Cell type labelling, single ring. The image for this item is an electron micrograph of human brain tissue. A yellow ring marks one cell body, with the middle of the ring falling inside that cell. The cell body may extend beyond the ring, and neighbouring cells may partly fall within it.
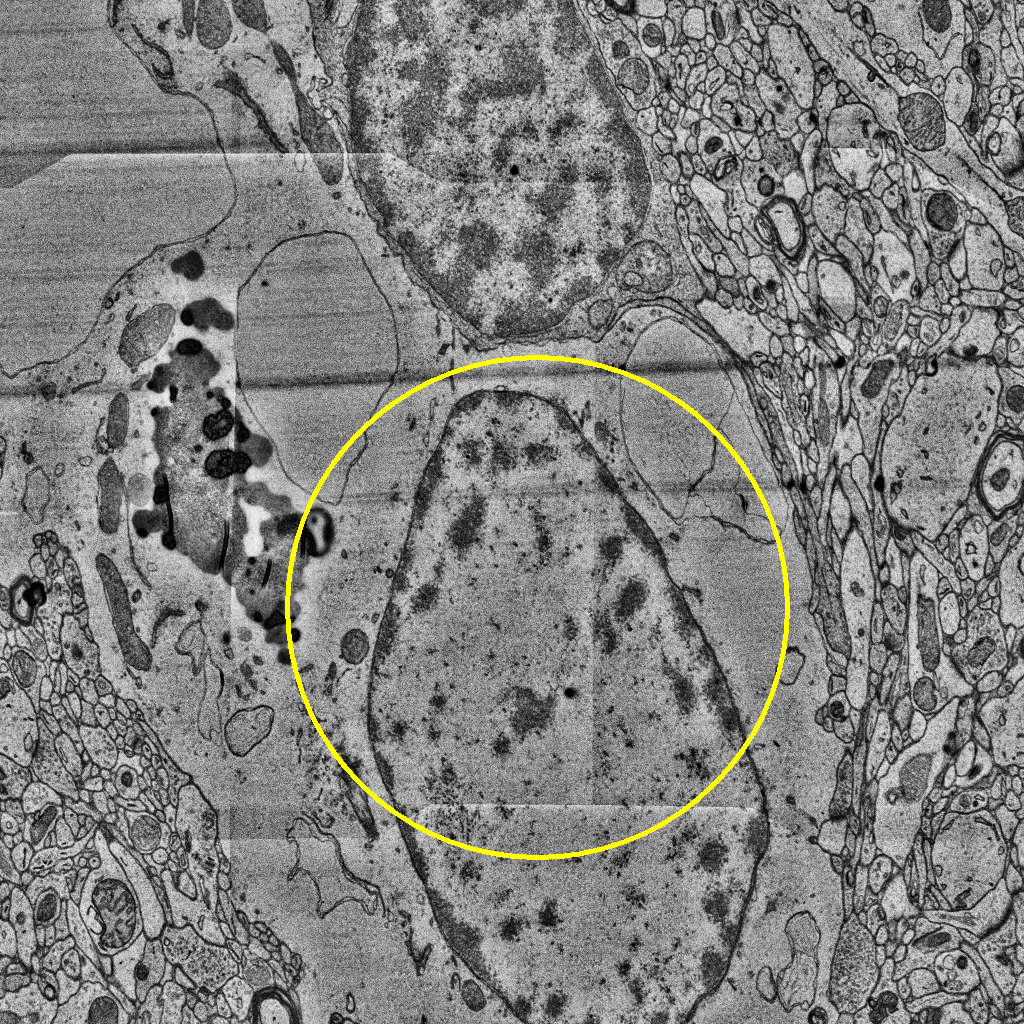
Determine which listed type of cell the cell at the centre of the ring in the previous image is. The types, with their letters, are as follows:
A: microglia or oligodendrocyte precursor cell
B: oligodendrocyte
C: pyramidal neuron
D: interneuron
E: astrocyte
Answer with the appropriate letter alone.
E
